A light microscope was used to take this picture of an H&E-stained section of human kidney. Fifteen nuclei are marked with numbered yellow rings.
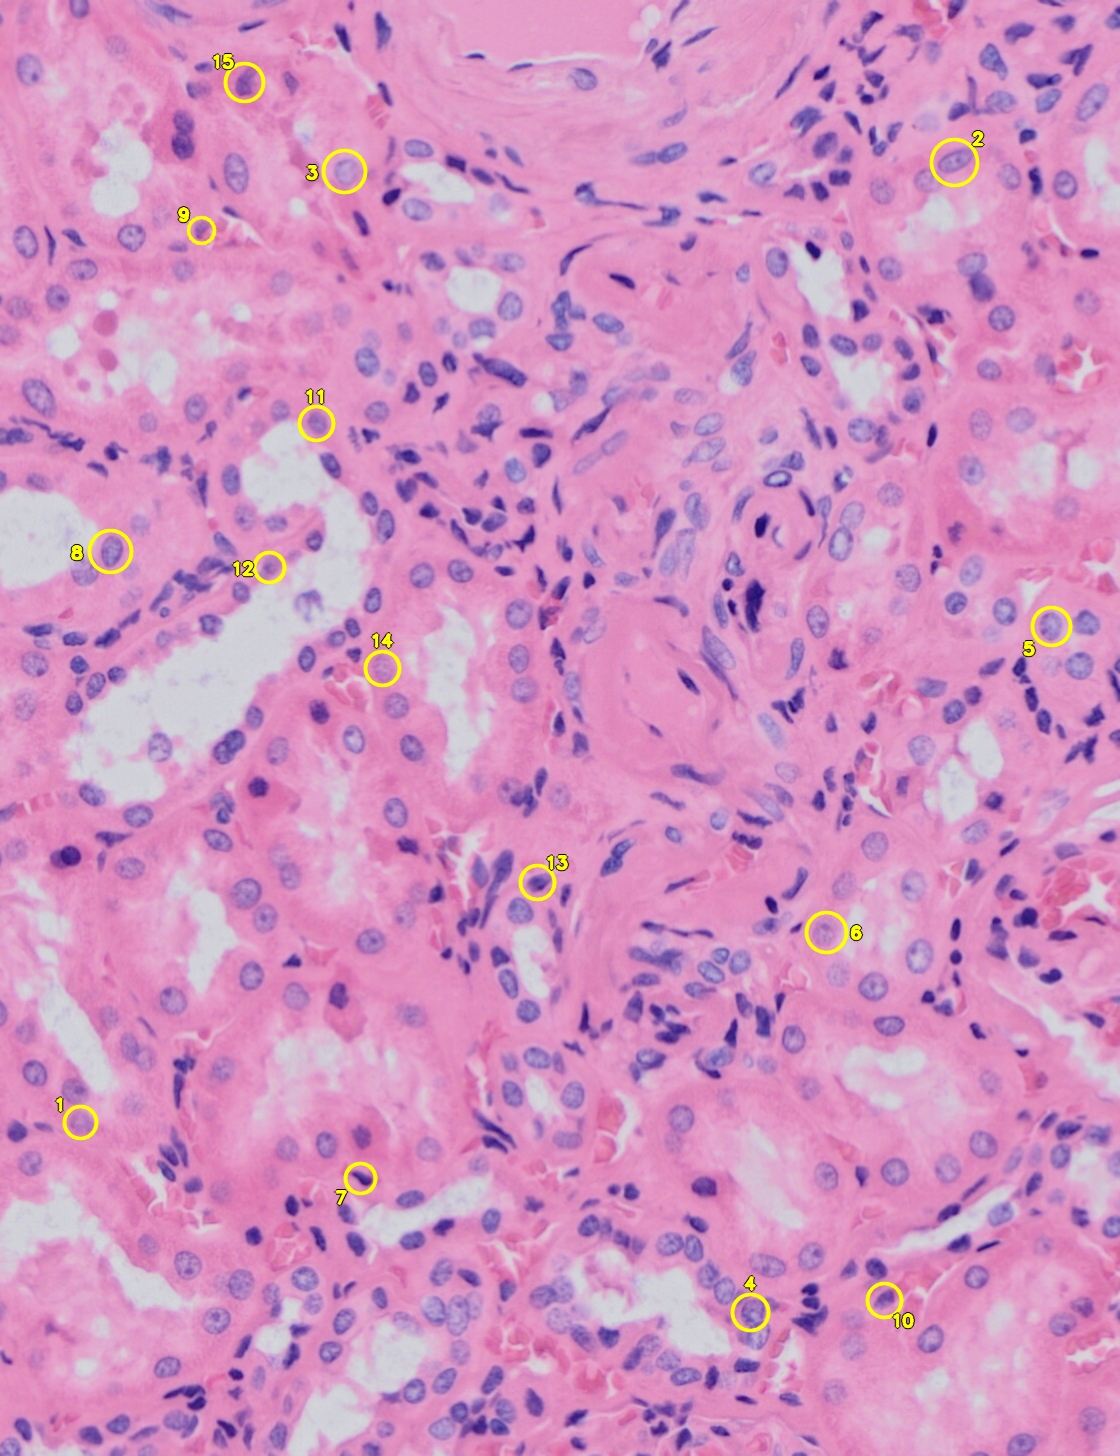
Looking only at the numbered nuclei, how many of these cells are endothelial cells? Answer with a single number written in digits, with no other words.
4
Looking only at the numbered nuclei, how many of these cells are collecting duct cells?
1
